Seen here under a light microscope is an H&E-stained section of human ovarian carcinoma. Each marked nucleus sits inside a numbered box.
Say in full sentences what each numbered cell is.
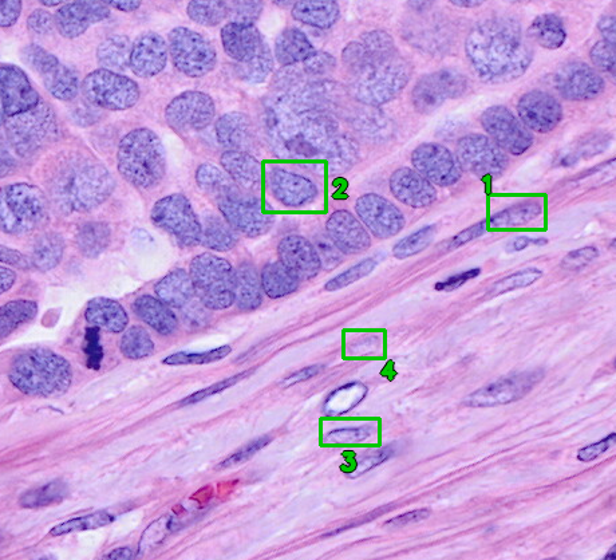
Cell 1 is a fibroblast, cell 2 is a carcinoma cell, cell 3 is a fibroblast and cell 4 is a fibroblast.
